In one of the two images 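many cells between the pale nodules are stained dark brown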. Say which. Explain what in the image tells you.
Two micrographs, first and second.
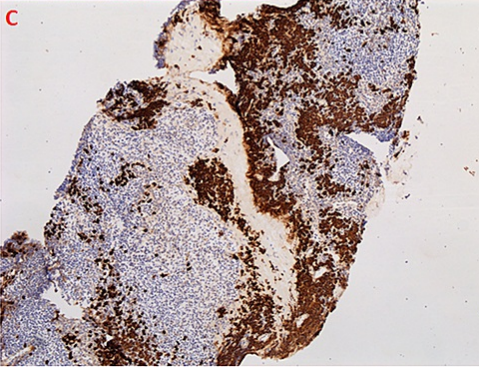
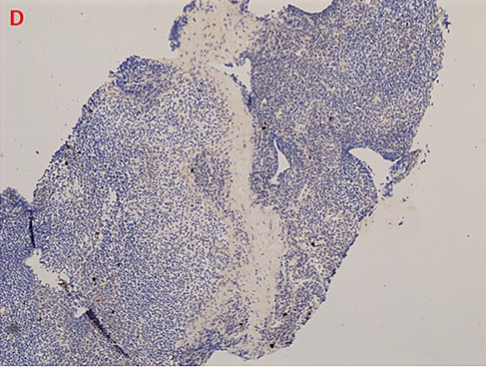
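First image: dense dark brown staining fills bands of tissue around pale blue rounded areas. On this evidence: the first image.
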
